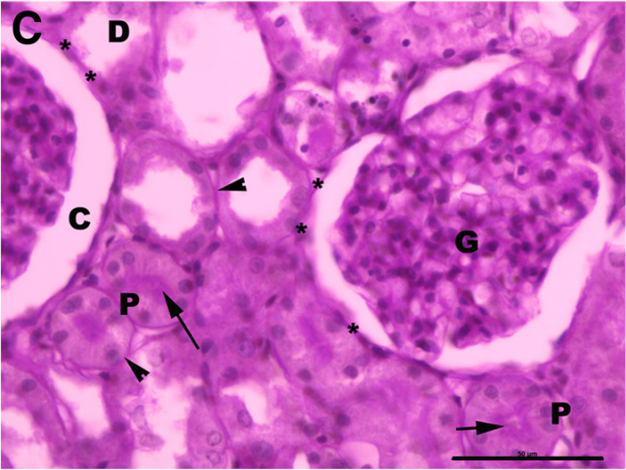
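Renal cortex showing a glomerulus on the right, a rounded tuft packed with dark nuclei, separated by a wide clear space from its thin capsule wall; part of a second glomerulus and a broad clear space appear at the left edge. Between them lie sections of convoluted tubules lined by cuboidal cells with round nuclei and pink cytoplasm. Several tubules have wide, empty lumens. Thin magenta lines outline the tubules at their bases, and the luminal fringe of some tubule cells is only faintly marked.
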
